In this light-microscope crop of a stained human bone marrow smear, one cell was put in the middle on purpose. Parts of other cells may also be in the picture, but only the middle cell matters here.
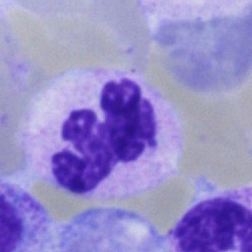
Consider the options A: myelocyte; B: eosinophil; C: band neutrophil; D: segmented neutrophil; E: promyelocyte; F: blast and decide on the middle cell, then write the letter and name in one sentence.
The cell placed in the middle is a segmented neutrophil; option D is correct.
